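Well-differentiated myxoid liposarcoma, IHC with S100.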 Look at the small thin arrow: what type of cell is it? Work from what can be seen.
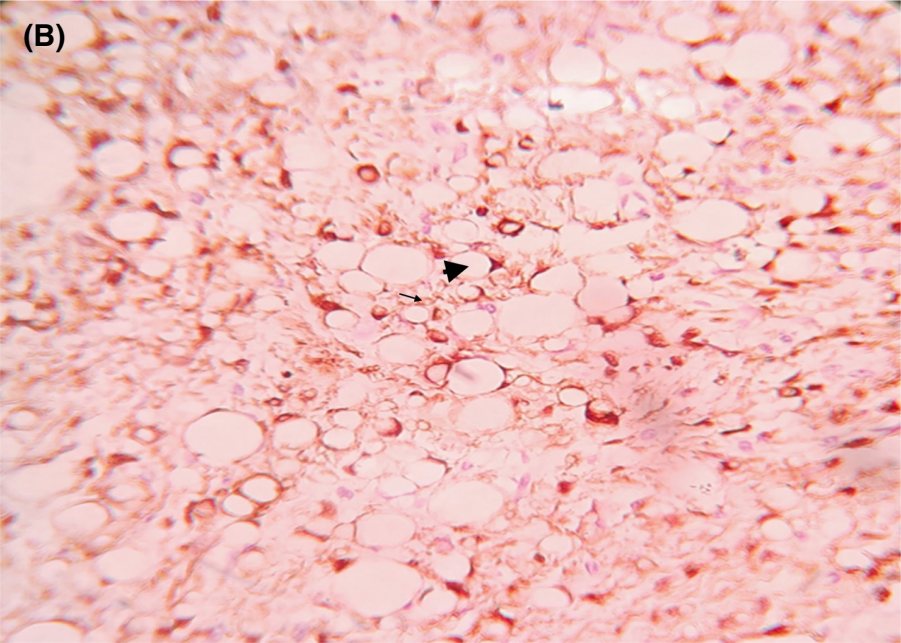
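Lipoblasts. The thin arrow points to a small cell between clear vacuoles. Small vacuolated cells carry brown stain.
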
